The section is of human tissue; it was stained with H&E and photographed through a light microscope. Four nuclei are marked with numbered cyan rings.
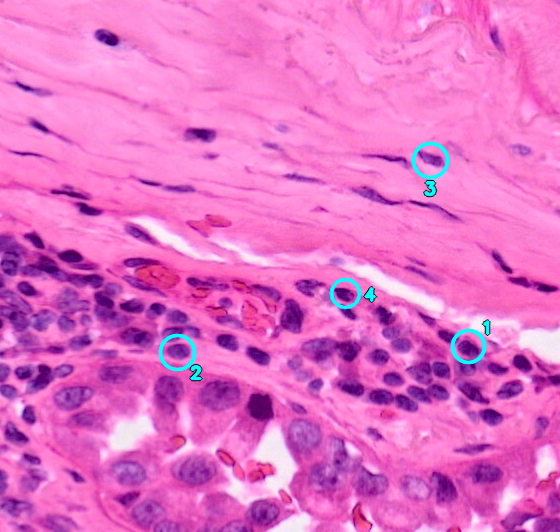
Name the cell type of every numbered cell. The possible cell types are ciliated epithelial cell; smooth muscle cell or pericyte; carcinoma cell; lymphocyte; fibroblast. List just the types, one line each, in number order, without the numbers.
lymphocyte
lymphocyte
fibroblast
lymphocyte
